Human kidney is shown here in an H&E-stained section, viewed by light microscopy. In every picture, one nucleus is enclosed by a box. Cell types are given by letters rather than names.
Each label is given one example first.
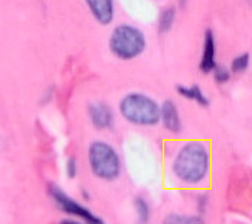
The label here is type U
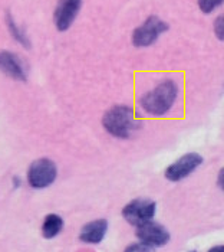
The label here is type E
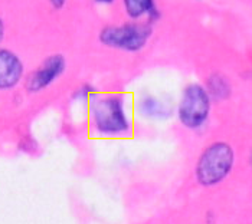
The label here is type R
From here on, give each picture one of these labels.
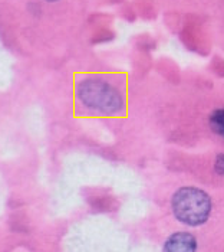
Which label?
type E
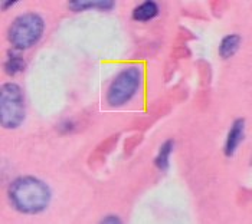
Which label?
type R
